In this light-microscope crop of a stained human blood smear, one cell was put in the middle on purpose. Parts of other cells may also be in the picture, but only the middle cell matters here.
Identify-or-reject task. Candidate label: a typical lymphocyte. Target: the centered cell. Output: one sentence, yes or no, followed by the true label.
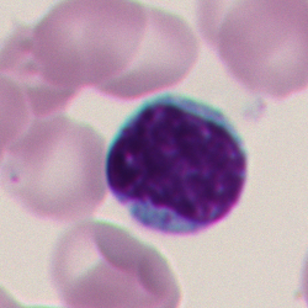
Yes, at the centre of the crop lies a typical lymphocyte.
